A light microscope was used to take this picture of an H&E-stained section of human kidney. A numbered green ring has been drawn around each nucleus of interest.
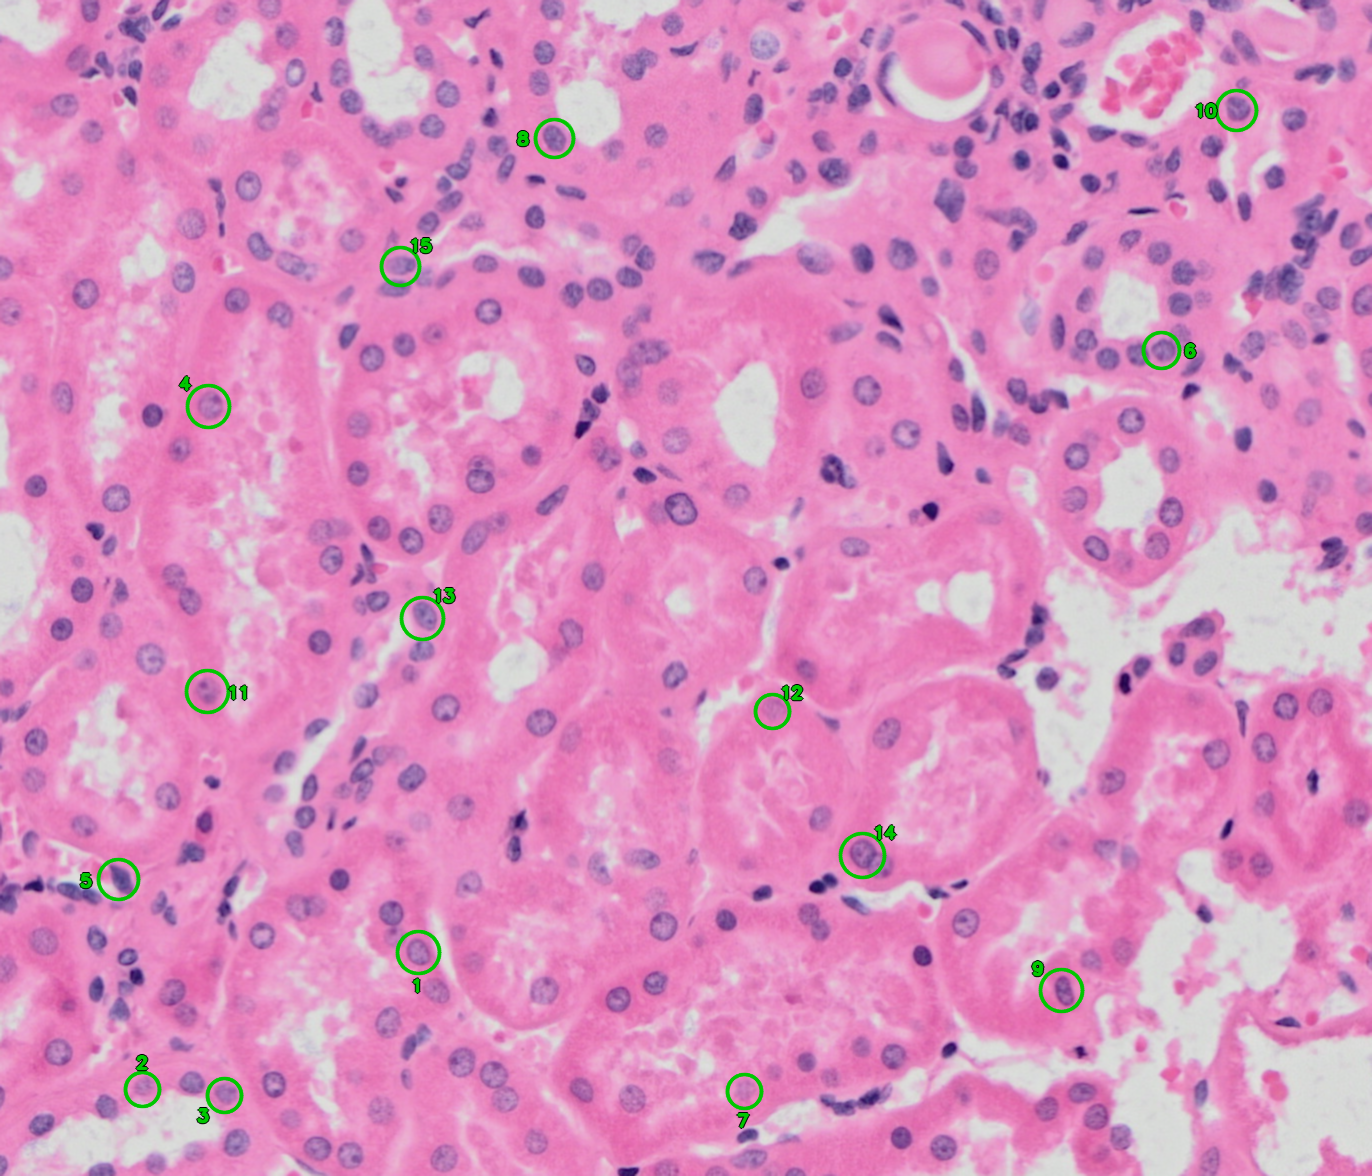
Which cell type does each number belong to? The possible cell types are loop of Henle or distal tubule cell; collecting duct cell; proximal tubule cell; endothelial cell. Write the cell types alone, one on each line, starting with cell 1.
proximal tubule cell
loop of Henle or distal tubule cell
loop of Henle or distal tubule cell
proximal tubule cell
endothelial cell
collecting duct cell
proximal tubule cell
loop of Henle or distal tubule cell
proximal tubule cell
loop of Henle or distal tubule cell
proximal tubule cell
proximal tubule cell
collecting duct cell
proximal tubule cell
collecting duct cell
